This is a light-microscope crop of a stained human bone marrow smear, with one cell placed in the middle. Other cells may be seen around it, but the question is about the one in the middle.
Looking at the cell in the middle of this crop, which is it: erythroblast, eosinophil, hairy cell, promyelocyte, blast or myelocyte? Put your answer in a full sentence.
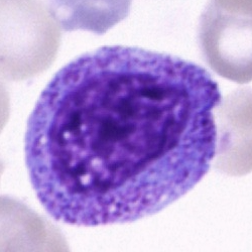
In the middle of this smear crop, the cell is a promyelocyte.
